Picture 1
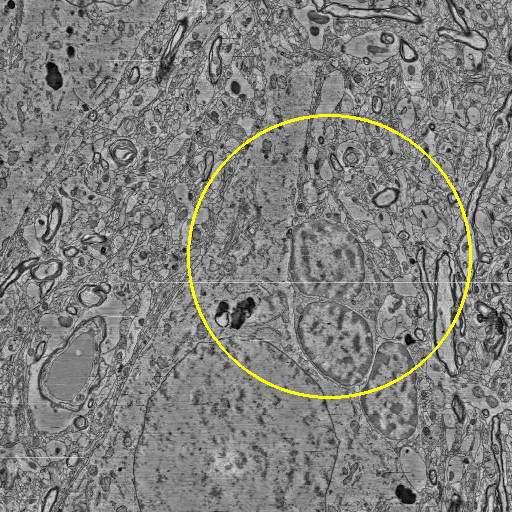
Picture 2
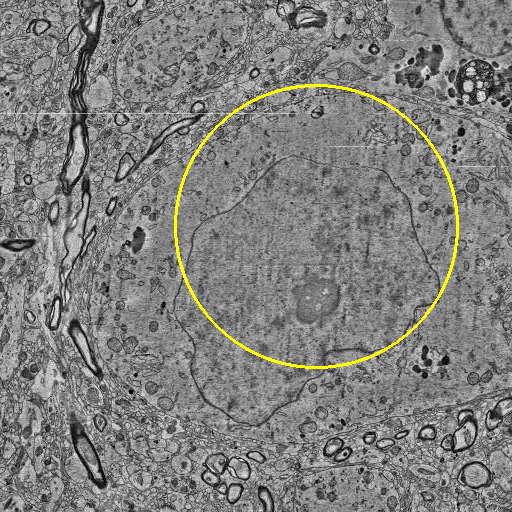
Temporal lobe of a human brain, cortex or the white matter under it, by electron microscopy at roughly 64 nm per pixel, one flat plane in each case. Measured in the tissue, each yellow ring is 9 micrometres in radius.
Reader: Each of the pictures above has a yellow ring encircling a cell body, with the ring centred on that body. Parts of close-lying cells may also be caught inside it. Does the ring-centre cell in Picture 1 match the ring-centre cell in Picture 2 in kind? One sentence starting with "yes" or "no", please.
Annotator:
No, Picture 1 and Picture 2 show ring-centre cells of two kinds.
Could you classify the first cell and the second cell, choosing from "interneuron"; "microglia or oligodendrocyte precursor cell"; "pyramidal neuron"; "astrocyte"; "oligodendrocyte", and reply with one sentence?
The second cell is a pyramidal neuron, while the first is an oligodendrocyte.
